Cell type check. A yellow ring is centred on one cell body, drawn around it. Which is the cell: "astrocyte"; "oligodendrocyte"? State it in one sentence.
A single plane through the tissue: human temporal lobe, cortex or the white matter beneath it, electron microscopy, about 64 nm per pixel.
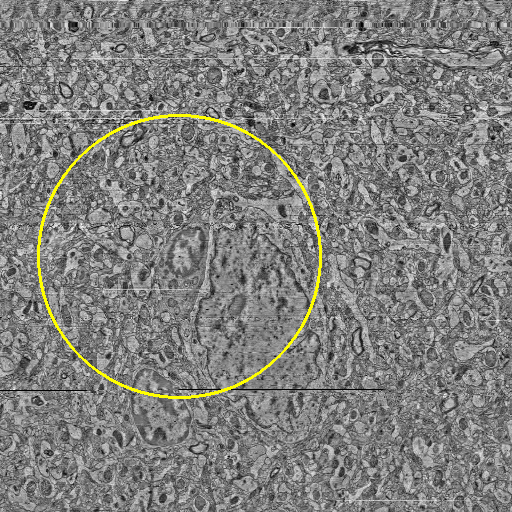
The cell body at the ring's centre belongs to an oligodendrocyte.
